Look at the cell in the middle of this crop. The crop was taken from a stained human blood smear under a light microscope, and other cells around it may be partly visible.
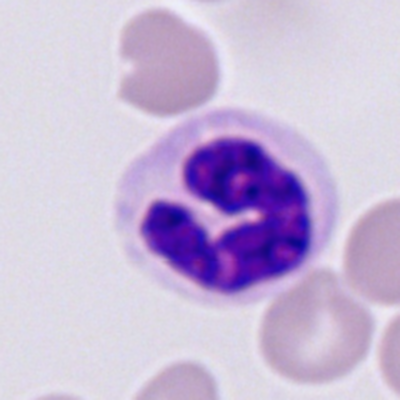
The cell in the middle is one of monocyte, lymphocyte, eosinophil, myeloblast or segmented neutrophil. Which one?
segmented neutrophil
